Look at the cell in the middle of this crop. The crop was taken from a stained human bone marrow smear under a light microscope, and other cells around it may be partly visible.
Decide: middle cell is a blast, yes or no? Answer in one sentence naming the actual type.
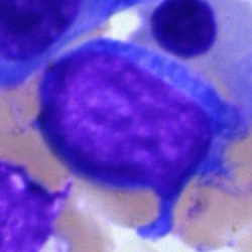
Yes, the cell at the centre of the field is a blast.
